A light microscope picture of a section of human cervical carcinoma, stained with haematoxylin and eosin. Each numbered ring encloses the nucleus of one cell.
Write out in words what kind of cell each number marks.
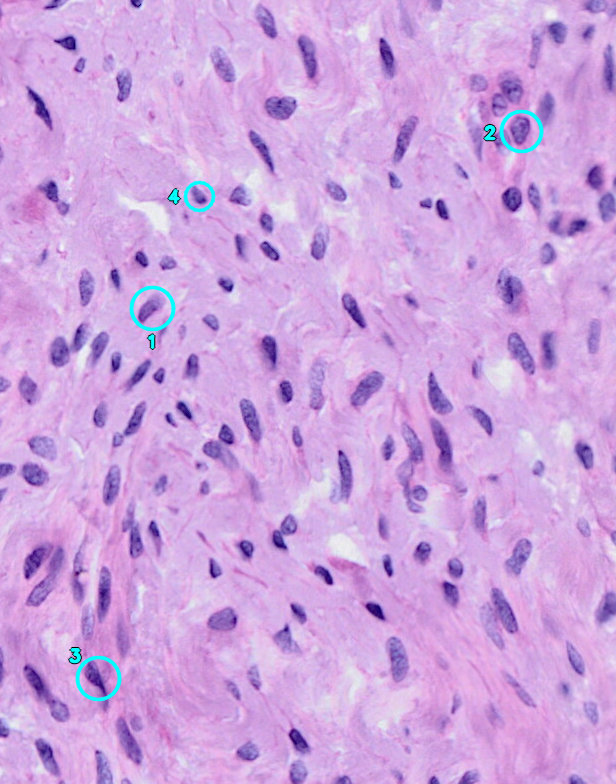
Cell 1 is a fibroblast, cell 2 is an endothelial cell, cell 3 is a fibroblast and cell 4 is a fibroblast.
